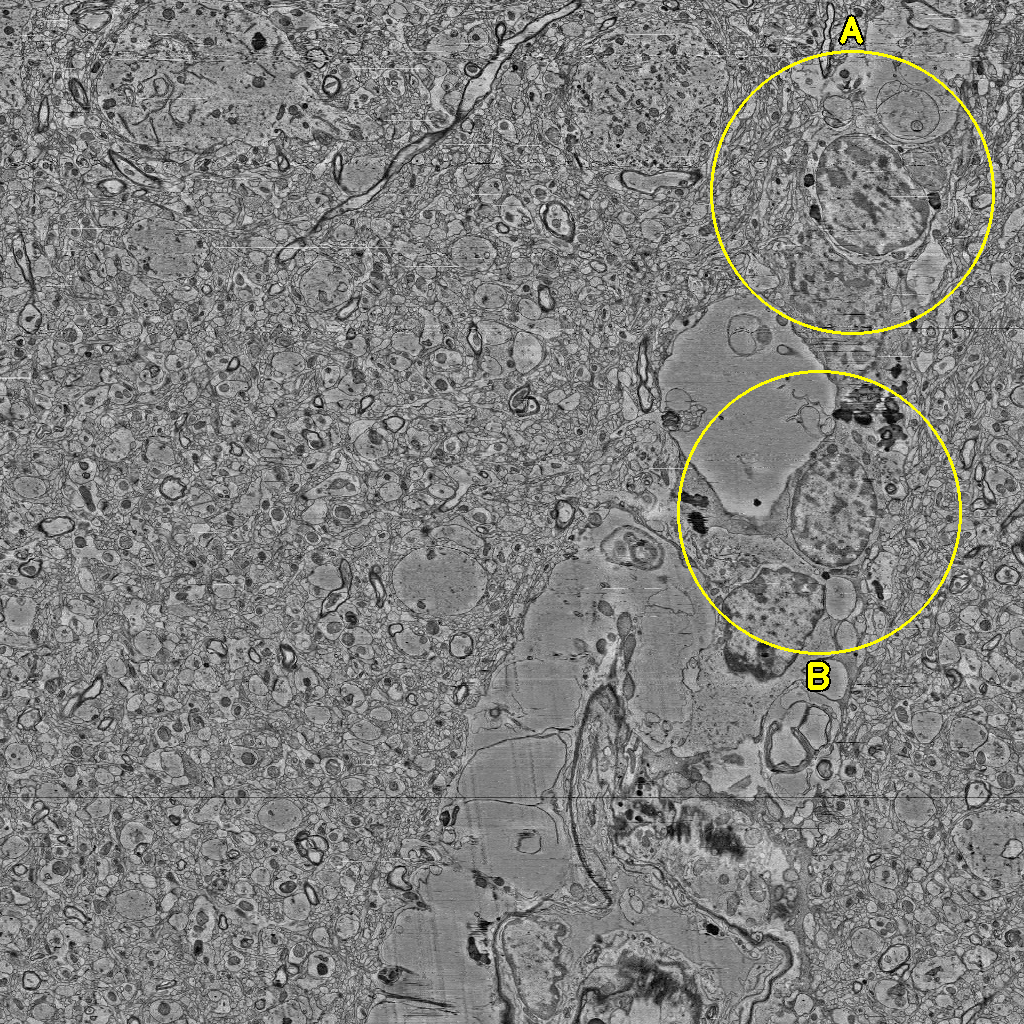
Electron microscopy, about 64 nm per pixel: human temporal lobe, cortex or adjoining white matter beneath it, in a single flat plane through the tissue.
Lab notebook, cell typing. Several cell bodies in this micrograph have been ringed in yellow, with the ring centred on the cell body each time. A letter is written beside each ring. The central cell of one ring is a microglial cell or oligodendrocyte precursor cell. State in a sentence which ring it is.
It is ring A.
